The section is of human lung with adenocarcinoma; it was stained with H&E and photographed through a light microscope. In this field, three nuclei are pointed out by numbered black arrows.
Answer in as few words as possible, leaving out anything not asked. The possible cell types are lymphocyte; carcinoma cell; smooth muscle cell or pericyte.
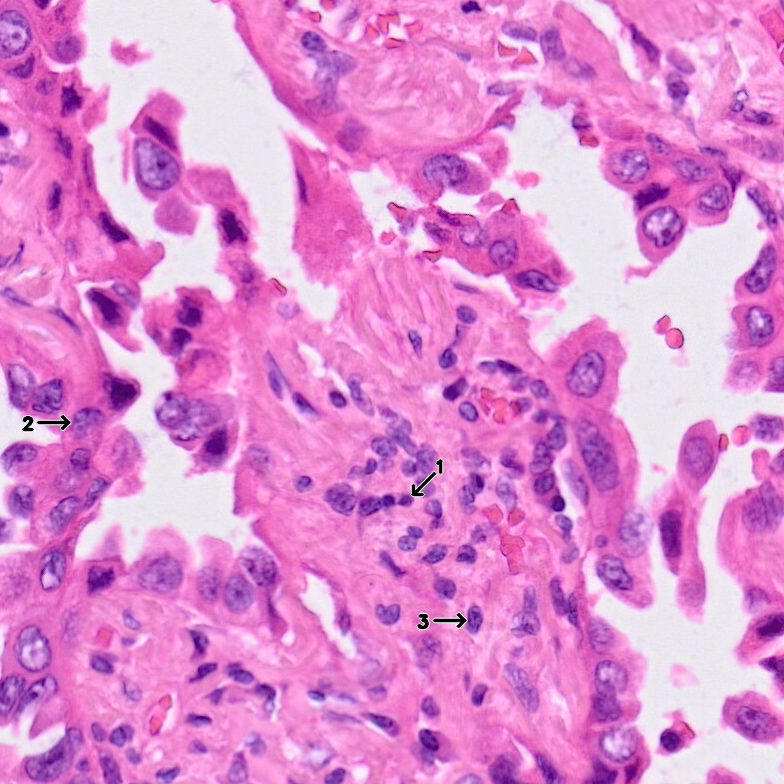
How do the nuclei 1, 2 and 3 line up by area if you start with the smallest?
1, 3, 2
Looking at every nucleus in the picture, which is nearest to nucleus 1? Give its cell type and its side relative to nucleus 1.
a lymphocyte, to the left of nucleus 1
